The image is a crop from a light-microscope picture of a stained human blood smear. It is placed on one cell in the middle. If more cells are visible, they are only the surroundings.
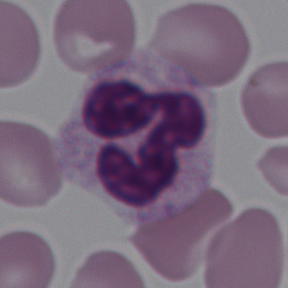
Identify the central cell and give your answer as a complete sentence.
The cell nearest the centre of this crop is a neutrophil.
